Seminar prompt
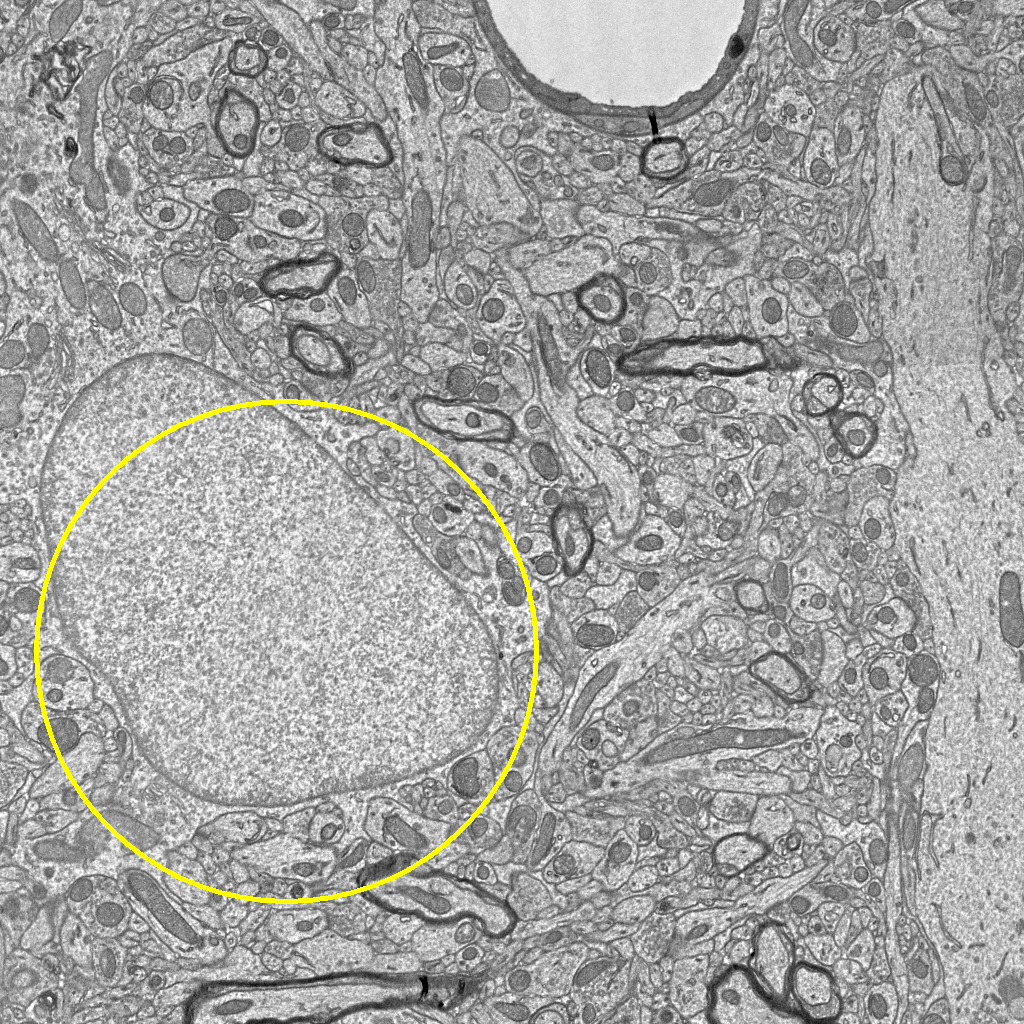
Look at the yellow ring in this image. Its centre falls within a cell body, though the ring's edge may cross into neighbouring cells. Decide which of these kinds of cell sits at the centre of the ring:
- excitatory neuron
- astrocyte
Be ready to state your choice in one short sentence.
The kind of cell at the ring's centre is an astrocyte.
